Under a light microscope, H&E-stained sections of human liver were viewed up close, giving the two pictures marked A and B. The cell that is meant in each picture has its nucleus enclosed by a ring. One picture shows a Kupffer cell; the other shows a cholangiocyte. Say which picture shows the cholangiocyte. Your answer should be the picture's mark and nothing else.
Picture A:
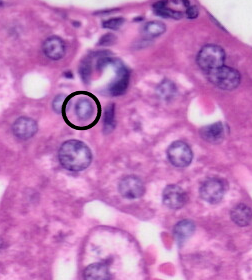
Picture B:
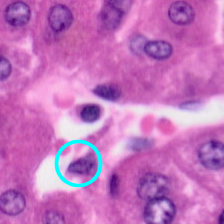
A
